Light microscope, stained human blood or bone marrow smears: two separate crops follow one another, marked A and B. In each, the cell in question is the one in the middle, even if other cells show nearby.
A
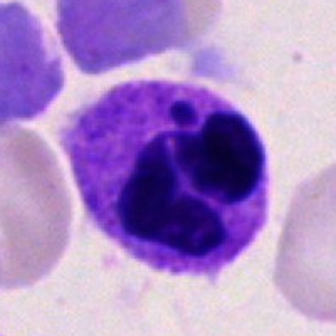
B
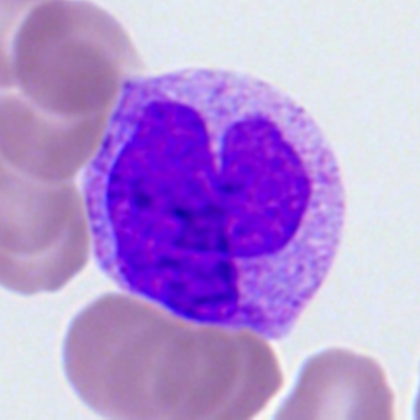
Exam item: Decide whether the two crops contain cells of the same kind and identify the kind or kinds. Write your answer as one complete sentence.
No, the middle of crop A holds a neutrophil, and the middle of crop B holds a monocyte.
